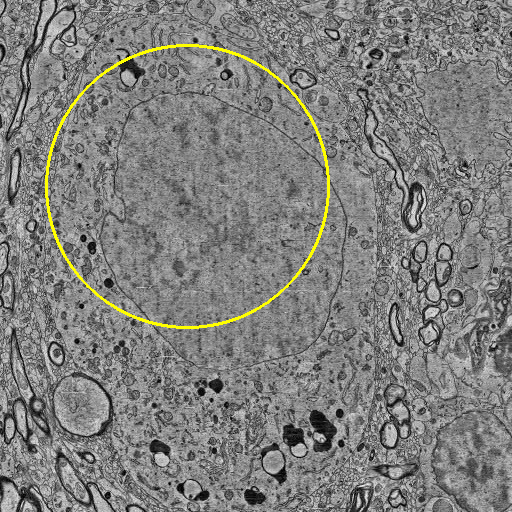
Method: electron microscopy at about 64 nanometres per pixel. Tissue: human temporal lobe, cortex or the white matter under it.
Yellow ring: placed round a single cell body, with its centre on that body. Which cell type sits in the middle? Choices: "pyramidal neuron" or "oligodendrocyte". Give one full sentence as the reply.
It is a pyramidal neuron whose cell body sits at the centre of the yellow ring.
